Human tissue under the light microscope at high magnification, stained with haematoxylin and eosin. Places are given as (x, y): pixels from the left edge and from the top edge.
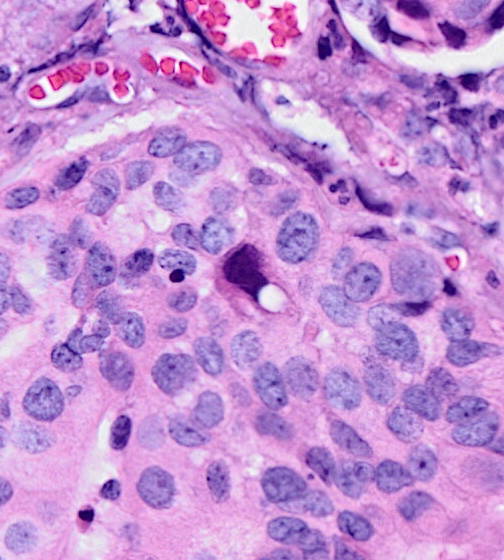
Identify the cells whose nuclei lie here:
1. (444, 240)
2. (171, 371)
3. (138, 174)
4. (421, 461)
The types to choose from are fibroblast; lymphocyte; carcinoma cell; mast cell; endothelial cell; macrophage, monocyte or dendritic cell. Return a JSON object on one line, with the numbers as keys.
{"1": "endothelial cell", "2": "carcinoma cell", "3": "carcinoma cell", "4": "carcinoma cell"}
